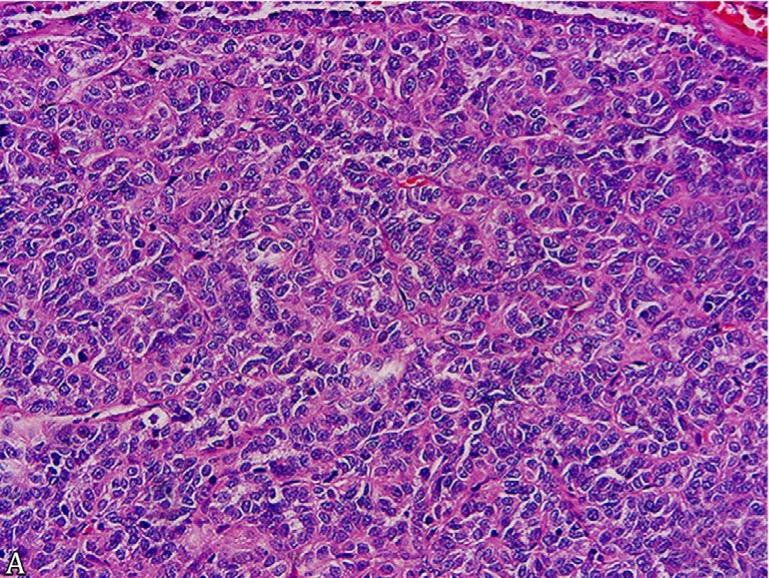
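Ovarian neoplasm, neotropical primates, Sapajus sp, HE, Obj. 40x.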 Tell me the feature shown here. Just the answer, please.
Nests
